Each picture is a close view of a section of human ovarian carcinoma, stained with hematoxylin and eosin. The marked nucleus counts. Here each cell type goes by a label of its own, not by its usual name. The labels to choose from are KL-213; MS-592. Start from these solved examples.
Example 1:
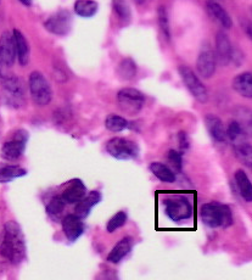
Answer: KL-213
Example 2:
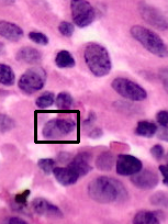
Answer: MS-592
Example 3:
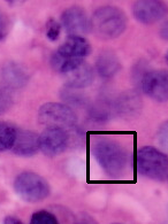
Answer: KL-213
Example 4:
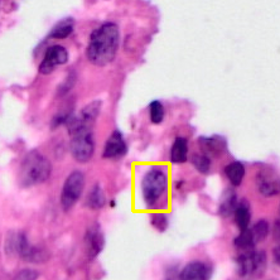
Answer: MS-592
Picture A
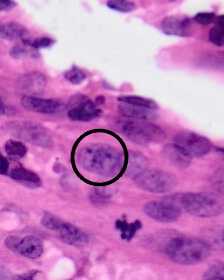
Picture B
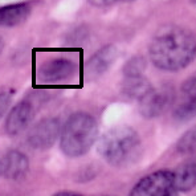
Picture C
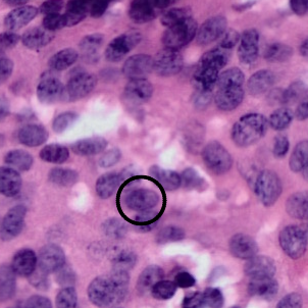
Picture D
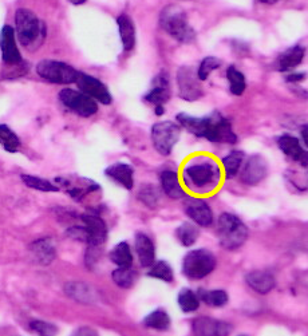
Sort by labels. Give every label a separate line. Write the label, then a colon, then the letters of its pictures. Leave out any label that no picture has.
KL-213: A, B, C, D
